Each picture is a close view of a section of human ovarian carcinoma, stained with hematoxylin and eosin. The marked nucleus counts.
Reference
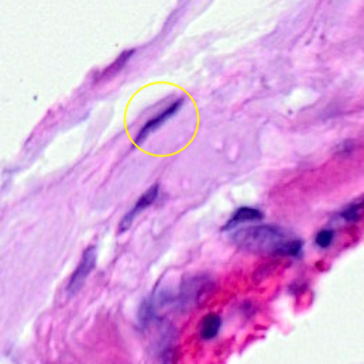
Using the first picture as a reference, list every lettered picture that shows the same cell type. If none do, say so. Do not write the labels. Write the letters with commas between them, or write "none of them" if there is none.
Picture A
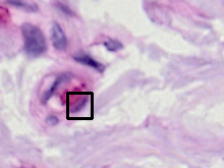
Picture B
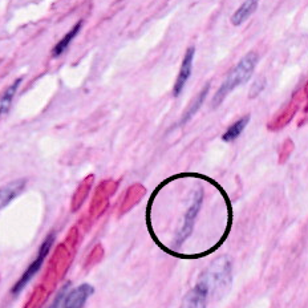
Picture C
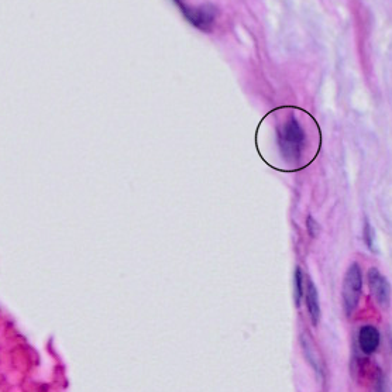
B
